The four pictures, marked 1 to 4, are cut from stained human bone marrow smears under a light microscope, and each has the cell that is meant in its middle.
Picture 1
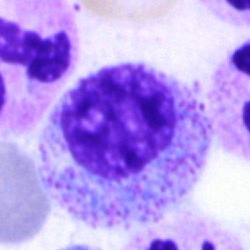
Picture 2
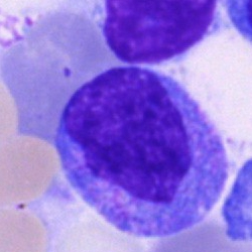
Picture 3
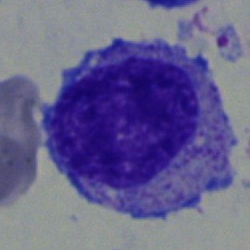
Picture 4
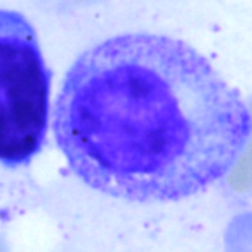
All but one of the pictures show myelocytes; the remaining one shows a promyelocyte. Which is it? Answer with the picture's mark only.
2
